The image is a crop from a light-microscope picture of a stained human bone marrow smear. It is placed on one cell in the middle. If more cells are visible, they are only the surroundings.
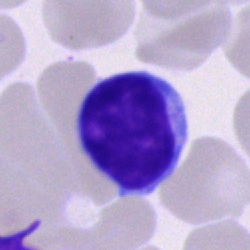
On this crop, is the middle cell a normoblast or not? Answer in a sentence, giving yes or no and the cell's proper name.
No, wrong label: the middle cell is a lymphocyte instead of a normoblast.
